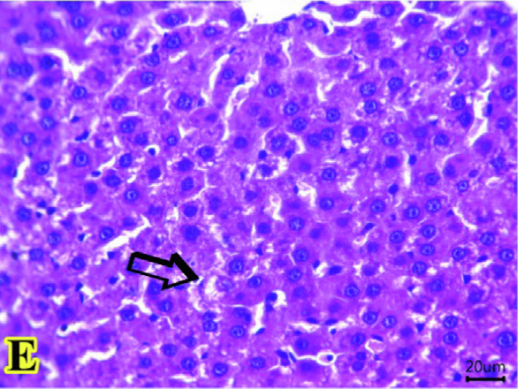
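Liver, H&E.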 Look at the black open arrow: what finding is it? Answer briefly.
Hydropic degenerated cells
